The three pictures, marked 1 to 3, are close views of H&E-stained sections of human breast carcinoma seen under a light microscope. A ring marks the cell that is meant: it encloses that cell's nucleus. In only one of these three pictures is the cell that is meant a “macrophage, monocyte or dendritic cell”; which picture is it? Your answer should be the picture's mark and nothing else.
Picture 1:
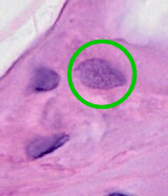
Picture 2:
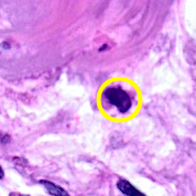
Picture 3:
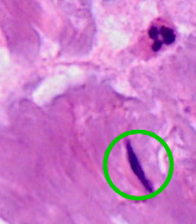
2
